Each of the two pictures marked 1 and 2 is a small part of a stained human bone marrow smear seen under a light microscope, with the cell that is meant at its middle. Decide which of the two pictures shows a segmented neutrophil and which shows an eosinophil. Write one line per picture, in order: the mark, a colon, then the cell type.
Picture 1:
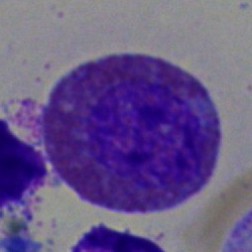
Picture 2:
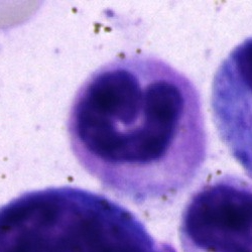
1: eosinophil
2: segmented neutrophil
